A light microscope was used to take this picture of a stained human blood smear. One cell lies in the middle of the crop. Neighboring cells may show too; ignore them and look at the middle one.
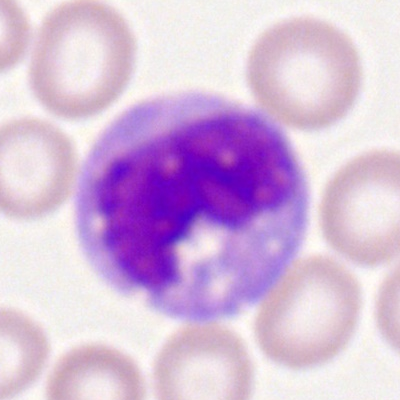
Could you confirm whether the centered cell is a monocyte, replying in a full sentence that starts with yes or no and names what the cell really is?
Yes, the cell at the middle of the frame is a monocyte.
